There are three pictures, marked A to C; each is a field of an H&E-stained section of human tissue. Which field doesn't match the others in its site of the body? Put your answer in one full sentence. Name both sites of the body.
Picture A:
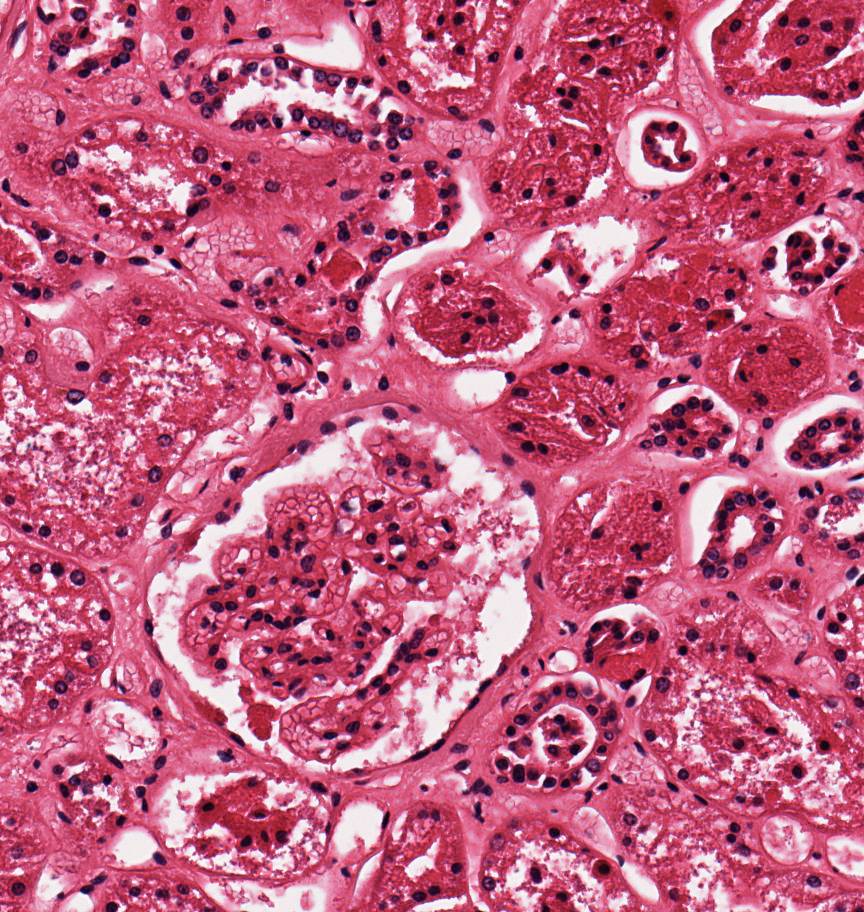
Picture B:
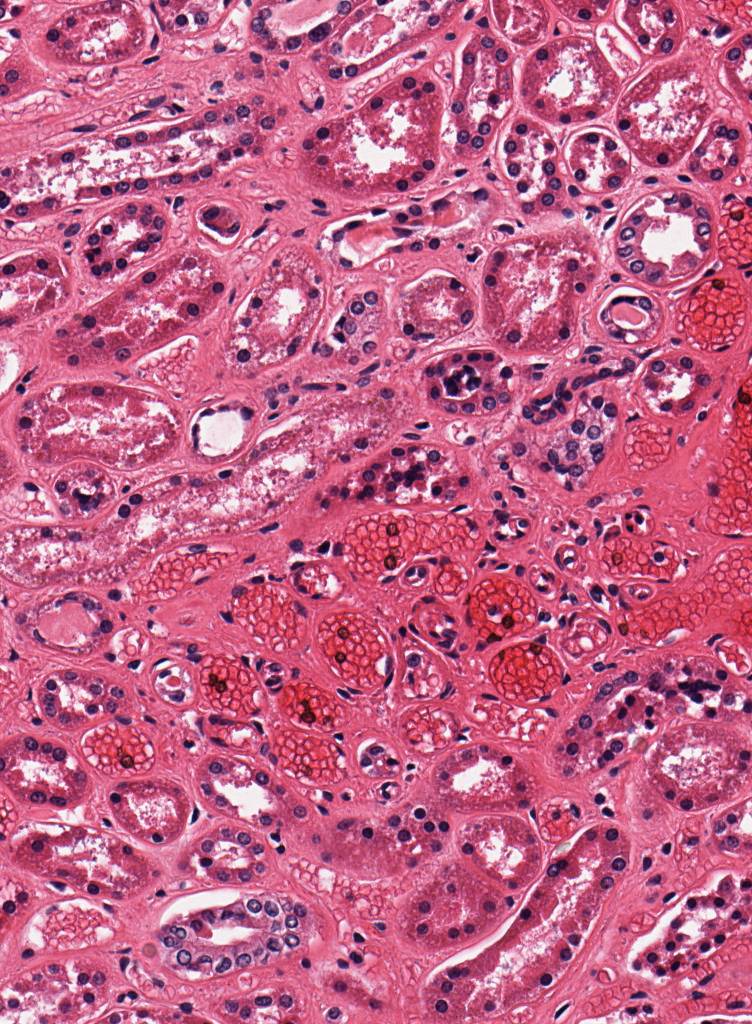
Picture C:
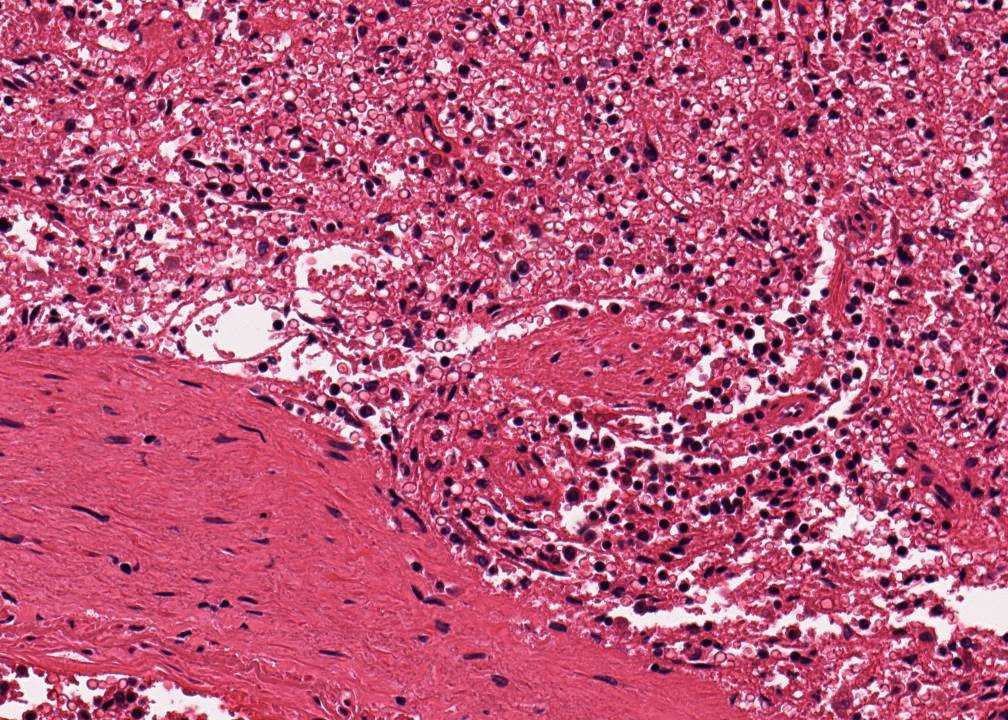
All pictures except C come from the renal cortex; picture C comes from the spleen.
